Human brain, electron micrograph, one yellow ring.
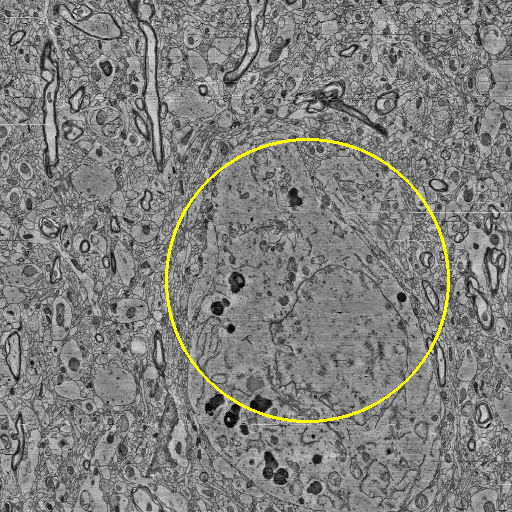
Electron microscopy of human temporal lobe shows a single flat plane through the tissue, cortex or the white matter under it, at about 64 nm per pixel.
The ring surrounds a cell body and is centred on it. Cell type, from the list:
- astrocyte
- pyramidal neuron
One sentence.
The yellow ring circles a pyramidal neuron.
